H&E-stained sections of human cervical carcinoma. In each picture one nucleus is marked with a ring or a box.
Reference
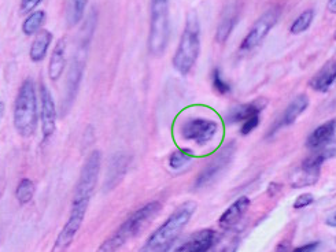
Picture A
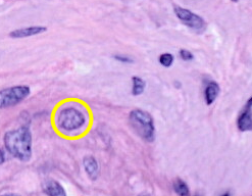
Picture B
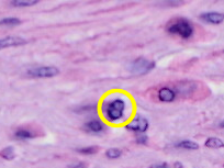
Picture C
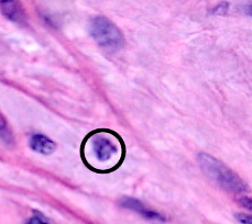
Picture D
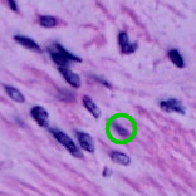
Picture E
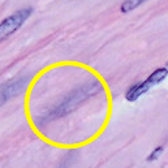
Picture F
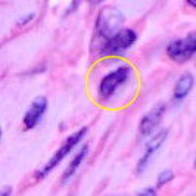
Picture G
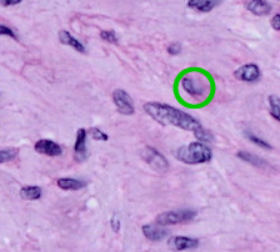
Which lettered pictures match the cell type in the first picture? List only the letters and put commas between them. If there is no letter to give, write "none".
B, C, F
